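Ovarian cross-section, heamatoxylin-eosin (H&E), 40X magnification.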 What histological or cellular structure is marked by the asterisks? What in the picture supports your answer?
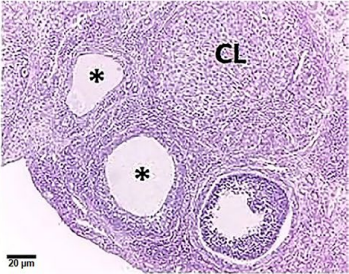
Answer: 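Large round clear spaces marked by asterisks. No oocyte is visible inside them. So: cystic follicles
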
